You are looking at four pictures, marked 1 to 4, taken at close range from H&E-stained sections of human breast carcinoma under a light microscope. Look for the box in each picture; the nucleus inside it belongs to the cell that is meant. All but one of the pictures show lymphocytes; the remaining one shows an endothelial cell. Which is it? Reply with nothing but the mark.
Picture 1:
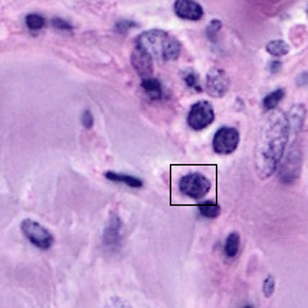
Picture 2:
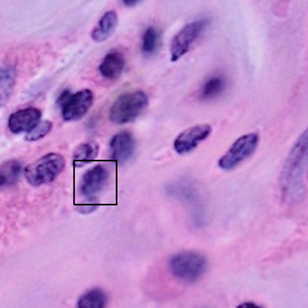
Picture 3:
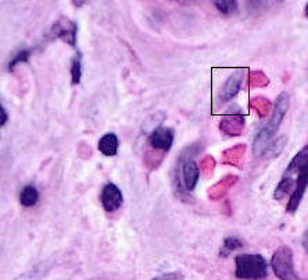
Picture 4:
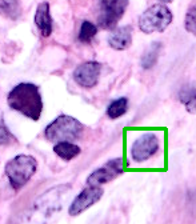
3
